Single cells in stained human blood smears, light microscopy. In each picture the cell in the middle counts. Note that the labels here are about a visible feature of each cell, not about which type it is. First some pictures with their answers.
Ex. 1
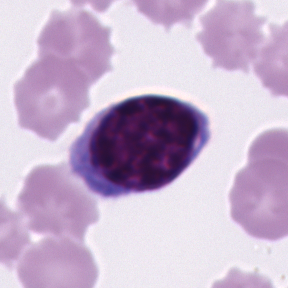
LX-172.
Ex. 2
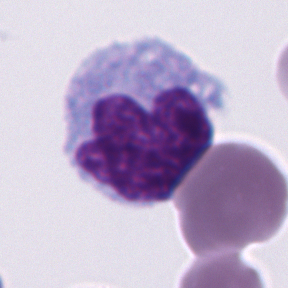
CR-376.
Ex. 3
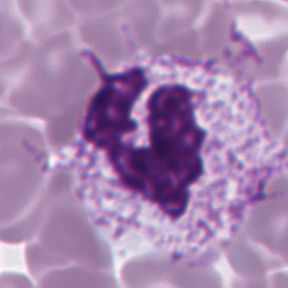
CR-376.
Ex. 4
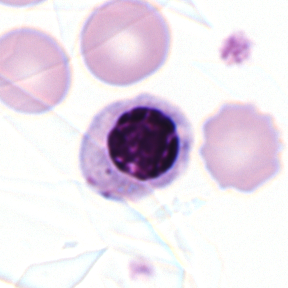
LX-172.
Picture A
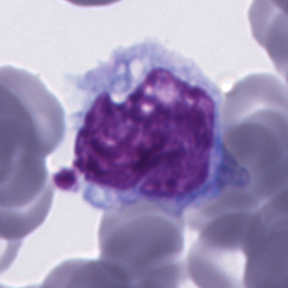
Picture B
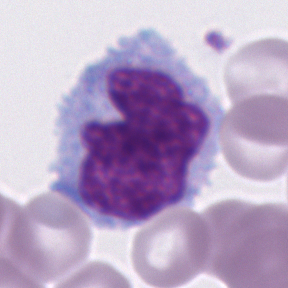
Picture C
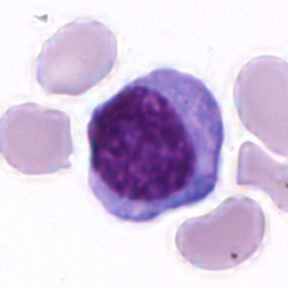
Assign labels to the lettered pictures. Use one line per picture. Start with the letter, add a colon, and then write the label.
A: CR-376.
B: CR-376.
C: LX-172.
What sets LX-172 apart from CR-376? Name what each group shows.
LX-172, smooth outline; CR-376, ragged outline or projections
